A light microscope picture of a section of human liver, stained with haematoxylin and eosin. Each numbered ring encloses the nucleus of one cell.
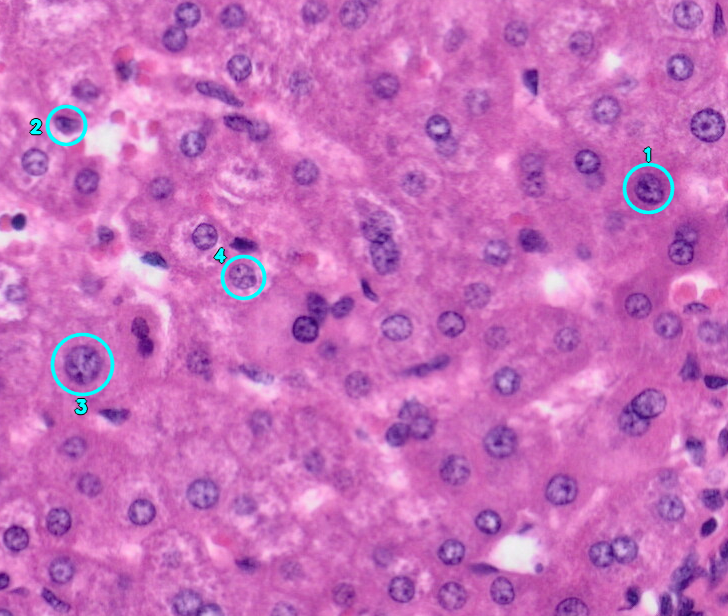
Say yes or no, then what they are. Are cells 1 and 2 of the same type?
No, cell 1 is a hepatocyte; cell 2, by contrast, is a Kupffer cell.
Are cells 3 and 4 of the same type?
Yes, cells 3 and 4 both belong among the hepatocytes.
